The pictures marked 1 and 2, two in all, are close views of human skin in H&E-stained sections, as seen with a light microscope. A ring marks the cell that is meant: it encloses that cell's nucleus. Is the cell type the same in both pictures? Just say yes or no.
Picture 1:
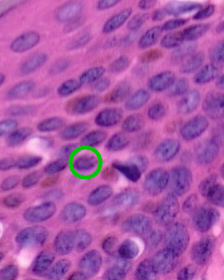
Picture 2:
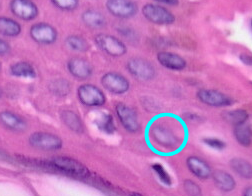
no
